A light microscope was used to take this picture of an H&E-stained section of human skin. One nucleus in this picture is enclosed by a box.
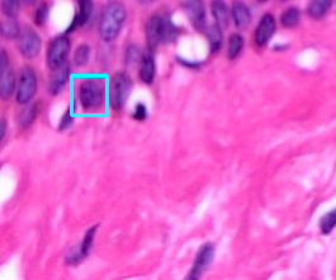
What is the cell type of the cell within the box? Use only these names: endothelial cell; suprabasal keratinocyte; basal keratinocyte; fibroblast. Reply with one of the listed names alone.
basal keratinocyte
